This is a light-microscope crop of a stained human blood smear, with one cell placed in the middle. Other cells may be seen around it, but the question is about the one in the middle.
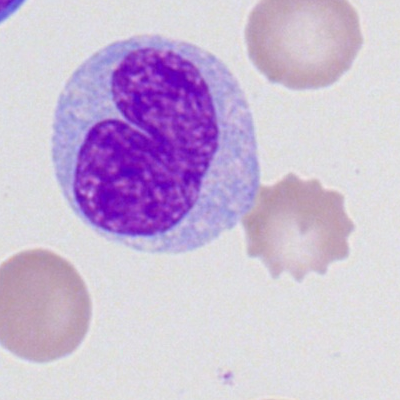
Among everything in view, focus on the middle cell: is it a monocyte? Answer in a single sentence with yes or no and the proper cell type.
Yes, it is a monocyte that lies in the middle.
